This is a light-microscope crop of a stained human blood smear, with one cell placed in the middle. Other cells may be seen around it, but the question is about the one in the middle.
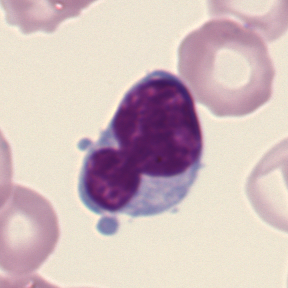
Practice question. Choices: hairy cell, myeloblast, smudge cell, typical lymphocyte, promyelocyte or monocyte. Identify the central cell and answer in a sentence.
The central cell shown in this smear crop is a typical lymphocyte.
